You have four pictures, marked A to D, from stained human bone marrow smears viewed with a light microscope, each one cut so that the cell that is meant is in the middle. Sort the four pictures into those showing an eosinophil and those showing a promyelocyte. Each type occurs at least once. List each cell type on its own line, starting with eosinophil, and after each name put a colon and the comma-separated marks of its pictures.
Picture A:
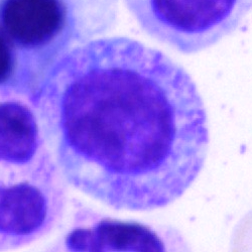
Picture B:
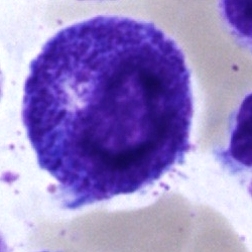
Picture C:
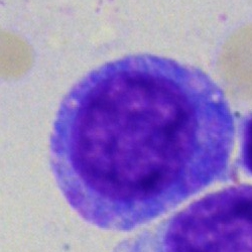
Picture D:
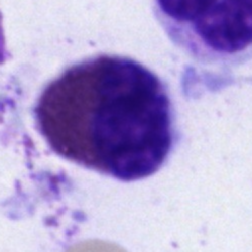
eosinophil: D
promyelocyte: A, B, C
